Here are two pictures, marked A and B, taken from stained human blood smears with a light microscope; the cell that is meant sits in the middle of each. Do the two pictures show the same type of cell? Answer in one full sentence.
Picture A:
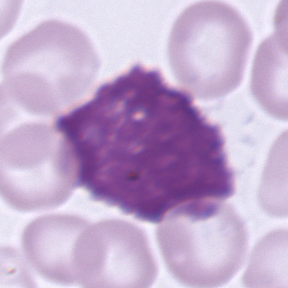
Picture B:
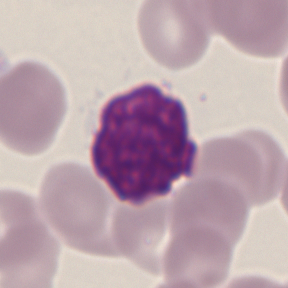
Yes; the cells in both pictures are smudge cells.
